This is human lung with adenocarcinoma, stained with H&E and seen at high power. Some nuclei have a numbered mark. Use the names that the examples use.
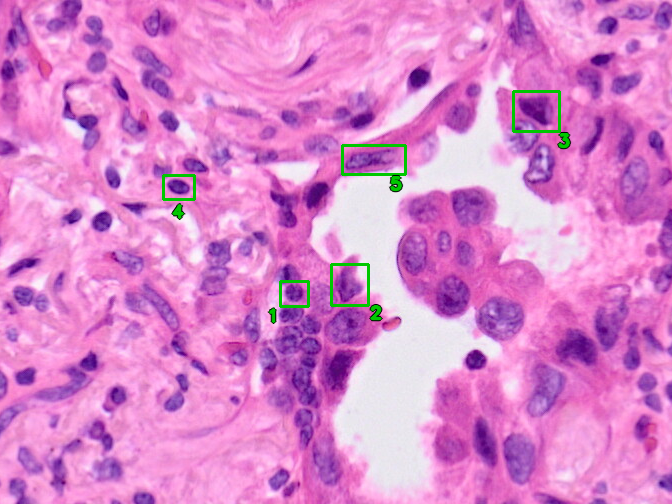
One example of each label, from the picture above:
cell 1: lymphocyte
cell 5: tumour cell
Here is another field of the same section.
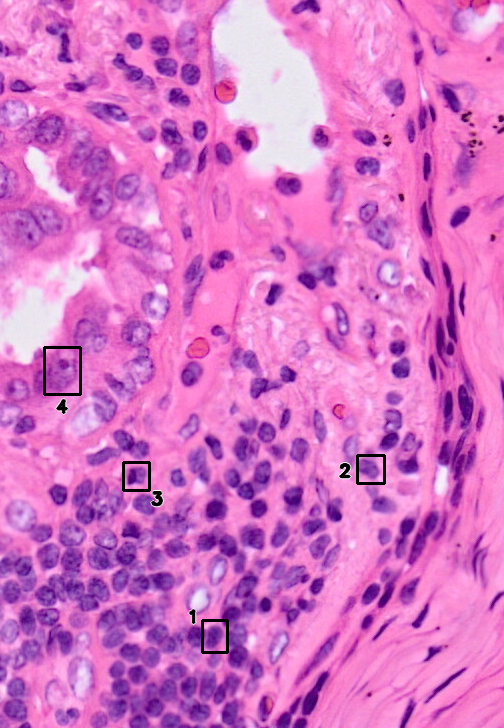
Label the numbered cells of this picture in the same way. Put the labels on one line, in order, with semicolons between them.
lymphocyte; lymphocyte; lymphocyte; tumour cell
